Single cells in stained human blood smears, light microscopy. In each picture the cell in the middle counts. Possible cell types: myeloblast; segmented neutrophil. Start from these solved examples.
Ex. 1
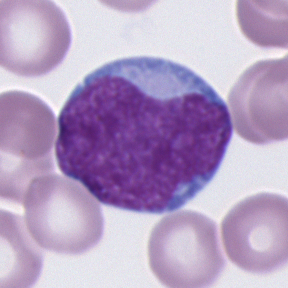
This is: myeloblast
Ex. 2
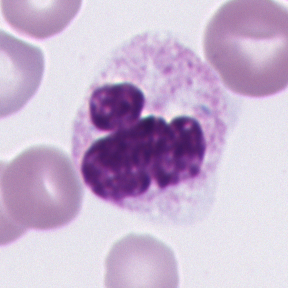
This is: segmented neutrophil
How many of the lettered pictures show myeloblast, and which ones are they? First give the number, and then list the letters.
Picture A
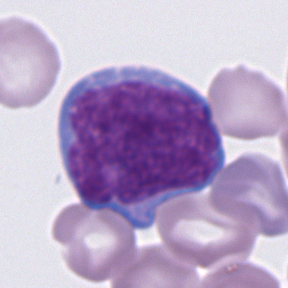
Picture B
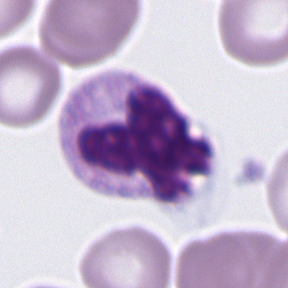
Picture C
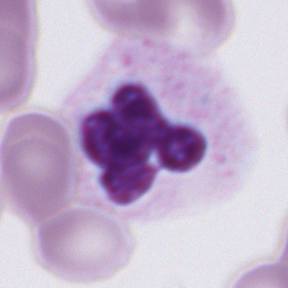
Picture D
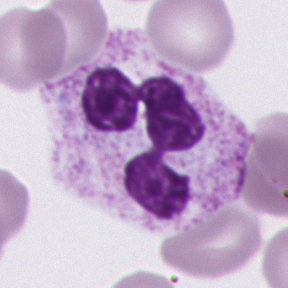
1: A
